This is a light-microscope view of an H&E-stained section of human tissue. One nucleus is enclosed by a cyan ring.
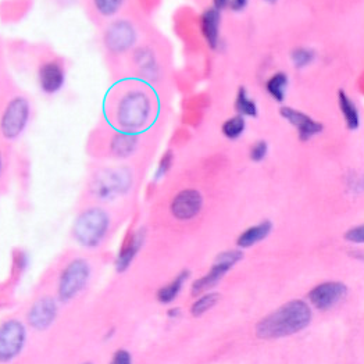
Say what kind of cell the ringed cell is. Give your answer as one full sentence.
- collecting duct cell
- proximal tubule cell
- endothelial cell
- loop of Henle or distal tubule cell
As a matter of cell type, the ringed cell is a collecting duct cell.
